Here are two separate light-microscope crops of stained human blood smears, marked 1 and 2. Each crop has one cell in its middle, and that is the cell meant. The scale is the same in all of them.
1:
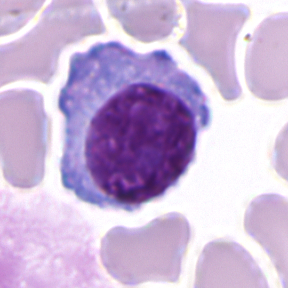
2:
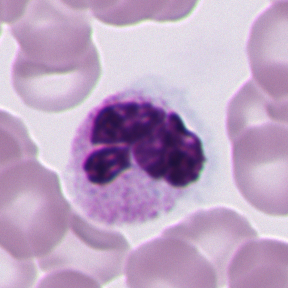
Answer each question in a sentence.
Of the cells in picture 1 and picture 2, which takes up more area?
Picture 1 holds the larger cell; it covers about 1.5 times the area of the cell in picture 2.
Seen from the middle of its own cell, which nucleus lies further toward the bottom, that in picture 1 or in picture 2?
Seen within its cell, the nucleus in picture 1 lies further toward the bottom.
